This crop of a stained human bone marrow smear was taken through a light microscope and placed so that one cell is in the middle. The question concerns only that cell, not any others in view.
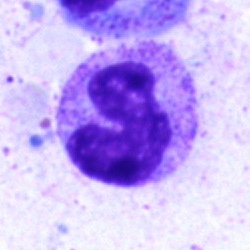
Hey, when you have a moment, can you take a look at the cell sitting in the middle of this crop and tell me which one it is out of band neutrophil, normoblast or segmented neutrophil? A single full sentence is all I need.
In this smear crop, the middle cell is a band neutrophil.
